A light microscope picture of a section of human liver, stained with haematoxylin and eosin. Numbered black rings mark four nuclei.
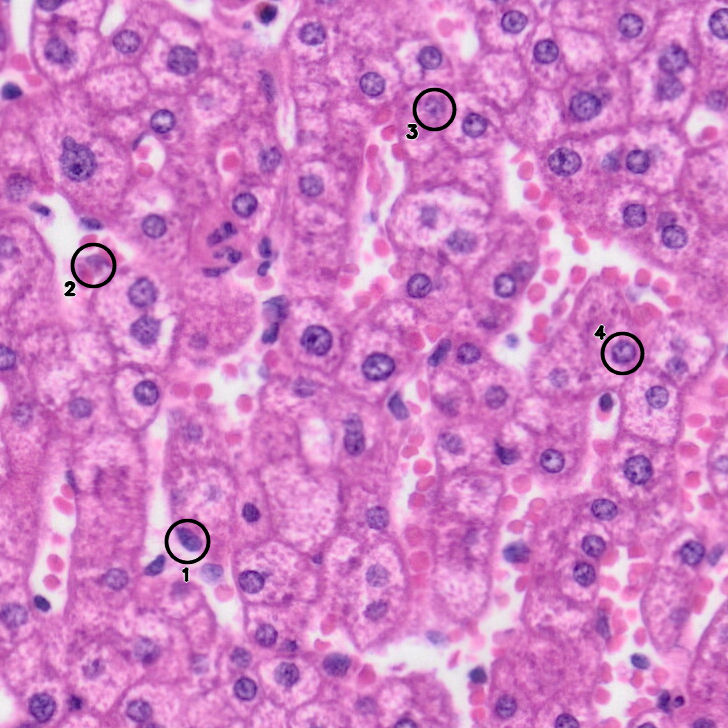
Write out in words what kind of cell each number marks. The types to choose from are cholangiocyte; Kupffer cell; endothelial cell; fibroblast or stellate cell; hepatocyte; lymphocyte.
Cell 1 is a fibroblast or stellate cell, cell 2 is a Kupffer cell, cell 3 is a hepatocyte and cell 4 is a hepatocyte.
